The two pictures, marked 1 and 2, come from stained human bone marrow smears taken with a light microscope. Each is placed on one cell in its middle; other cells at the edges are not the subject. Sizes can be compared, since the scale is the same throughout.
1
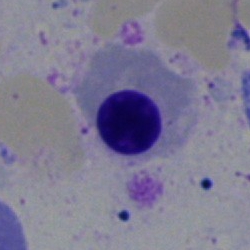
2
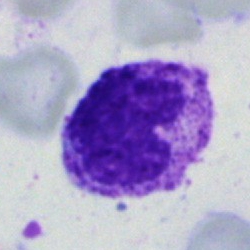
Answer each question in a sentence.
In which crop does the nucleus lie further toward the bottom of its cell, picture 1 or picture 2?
Seen within its cell, the nucleus in picture 1 lies further toward the bottom.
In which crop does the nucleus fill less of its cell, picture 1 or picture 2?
In picture 1 the nucleus takes up the smaller part of its cell.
